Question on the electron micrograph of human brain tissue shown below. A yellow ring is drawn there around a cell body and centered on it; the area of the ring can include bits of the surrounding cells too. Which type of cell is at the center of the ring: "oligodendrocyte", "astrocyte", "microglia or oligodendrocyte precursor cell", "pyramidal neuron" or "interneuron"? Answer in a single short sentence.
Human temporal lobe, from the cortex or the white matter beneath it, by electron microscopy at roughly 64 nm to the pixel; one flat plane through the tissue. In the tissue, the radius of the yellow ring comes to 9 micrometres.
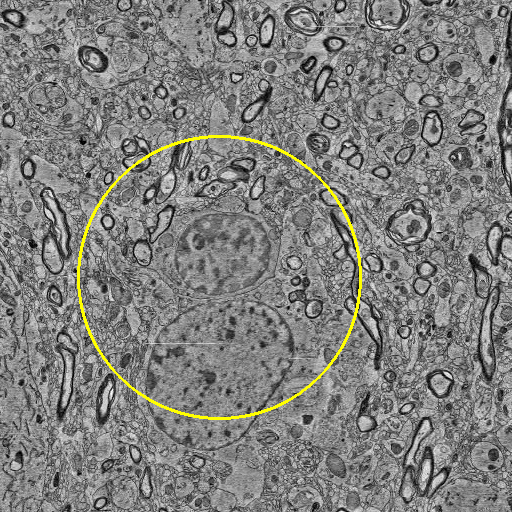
The ring is centered on an oligodendrocyte.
